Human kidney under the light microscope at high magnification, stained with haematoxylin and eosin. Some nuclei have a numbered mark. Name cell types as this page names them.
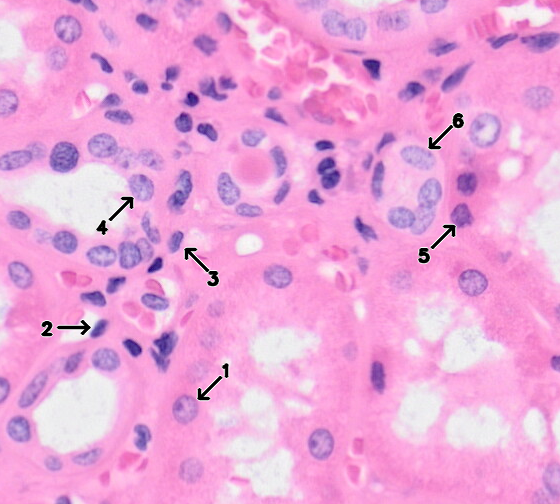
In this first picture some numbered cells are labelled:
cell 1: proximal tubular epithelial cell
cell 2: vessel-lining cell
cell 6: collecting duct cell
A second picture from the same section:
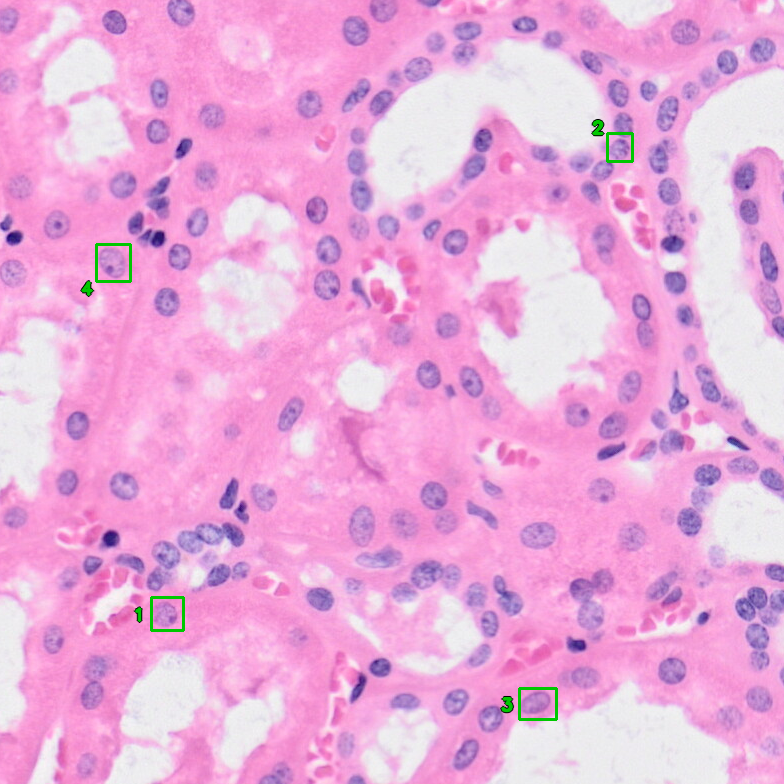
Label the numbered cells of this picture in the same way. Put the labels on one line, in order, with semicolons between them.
proximal tubular epithelial cell; collecting duct cell; proximal tubular epithelial cell; proximal tubular epithelial cell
